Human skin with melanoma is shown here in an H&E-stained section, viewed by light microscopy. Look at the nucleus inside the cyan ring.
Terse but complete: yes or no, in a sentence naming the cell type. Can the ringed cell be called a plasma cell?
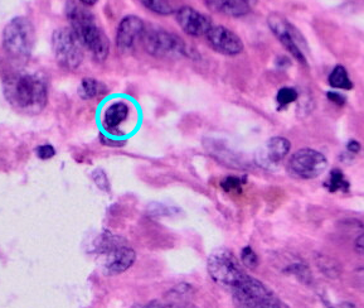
No; the ringed cell should be labelled a lymphocyte rather than a plasma cell.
